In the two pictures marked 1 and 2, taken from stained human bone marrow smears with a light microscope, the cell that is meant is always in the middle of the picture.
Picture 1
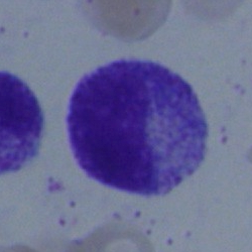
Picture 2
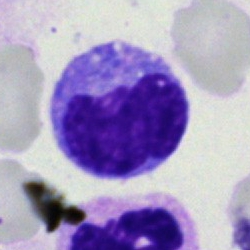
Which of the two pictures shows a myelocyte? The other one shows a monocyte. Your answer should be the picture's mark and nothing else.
1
